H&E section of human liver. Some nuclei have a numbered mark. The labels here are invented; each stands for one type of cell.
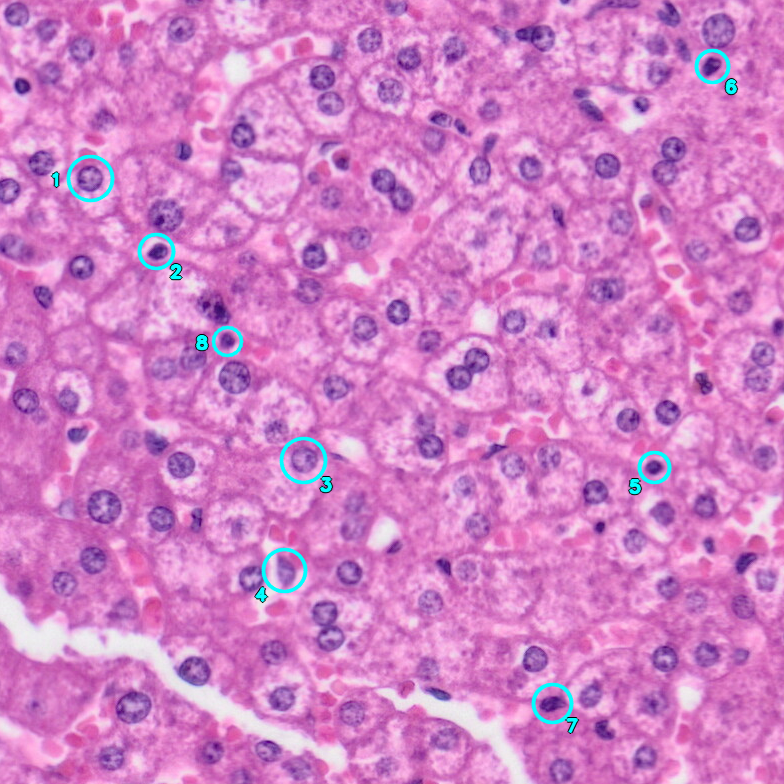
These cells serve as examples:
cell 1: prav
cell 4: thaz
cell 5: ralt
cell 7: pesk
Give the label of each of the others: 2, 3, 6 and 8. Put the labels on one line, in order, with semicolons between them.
ralt; prav; ralt; ralt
